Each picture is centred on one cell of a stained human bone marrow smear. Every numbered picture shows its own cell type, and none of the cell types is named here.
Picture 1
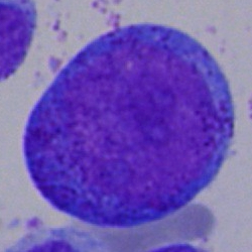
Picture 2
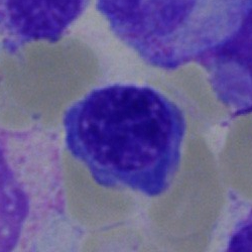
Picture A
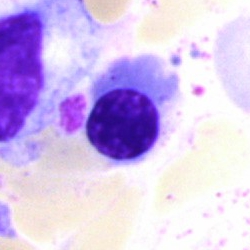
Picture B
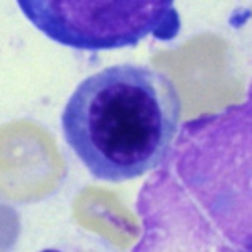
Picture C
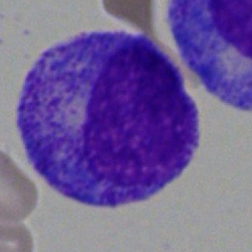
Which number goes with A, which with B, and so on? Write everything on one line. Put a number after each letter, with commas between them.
A 2, B 2, C 1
